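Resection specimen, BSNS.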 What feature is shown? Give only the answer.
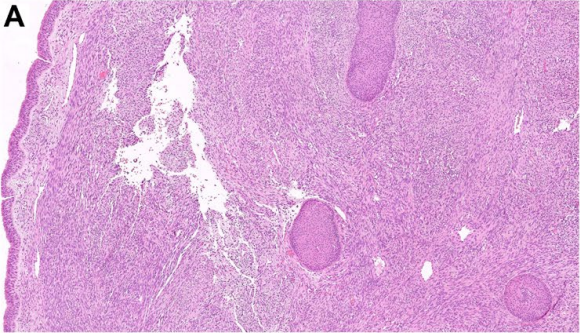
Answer: invaginations of the hyperplastic surface mucosa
